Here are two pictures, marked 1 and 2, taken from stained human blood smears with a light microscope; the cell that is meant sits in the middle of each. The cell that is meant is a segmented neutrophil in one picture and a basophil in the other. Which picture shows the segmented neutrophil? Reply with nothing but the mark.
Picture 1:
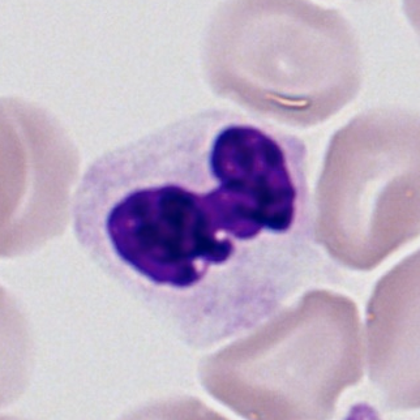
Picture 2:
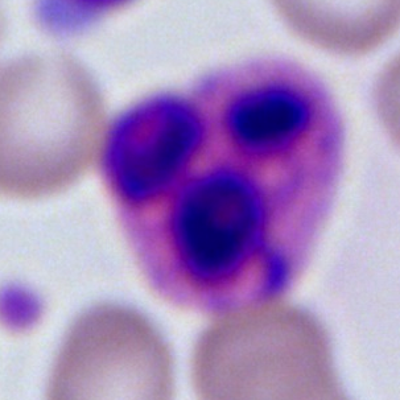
1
